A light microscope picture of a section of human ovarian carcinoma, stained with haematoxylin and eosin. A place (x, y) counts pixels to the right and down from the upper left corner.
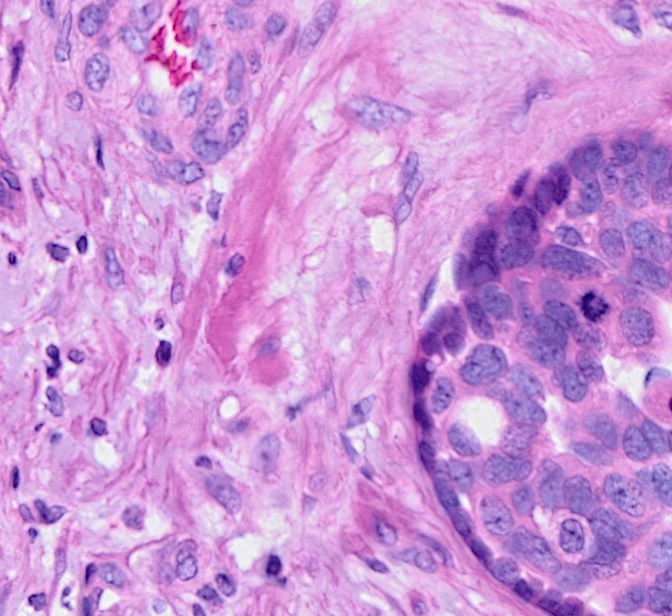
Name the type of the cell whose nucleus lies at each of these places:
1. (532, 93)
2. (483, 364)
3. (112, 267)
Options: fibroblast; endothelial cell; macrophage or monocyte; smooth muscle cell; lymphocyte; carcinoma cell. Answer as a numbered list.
1. fibroblast
2. carcinoma cell
3. fibroblast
